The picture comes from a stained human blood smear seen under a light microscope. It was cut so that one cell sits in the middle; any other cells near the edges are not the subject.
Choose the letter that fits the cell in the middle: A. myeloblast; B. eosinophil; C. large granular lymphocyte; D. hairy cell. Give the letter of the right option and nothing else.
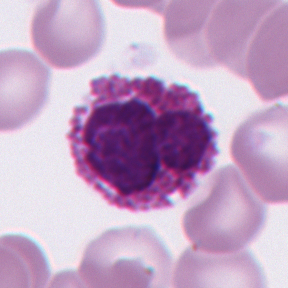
B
